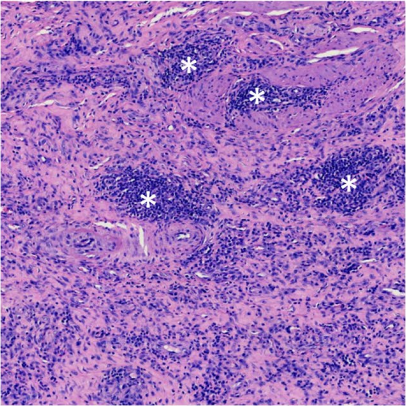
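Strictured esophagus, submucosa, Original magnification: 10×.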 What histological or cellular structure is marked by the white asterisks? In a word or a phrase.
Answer: Lymphoid aggregates.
